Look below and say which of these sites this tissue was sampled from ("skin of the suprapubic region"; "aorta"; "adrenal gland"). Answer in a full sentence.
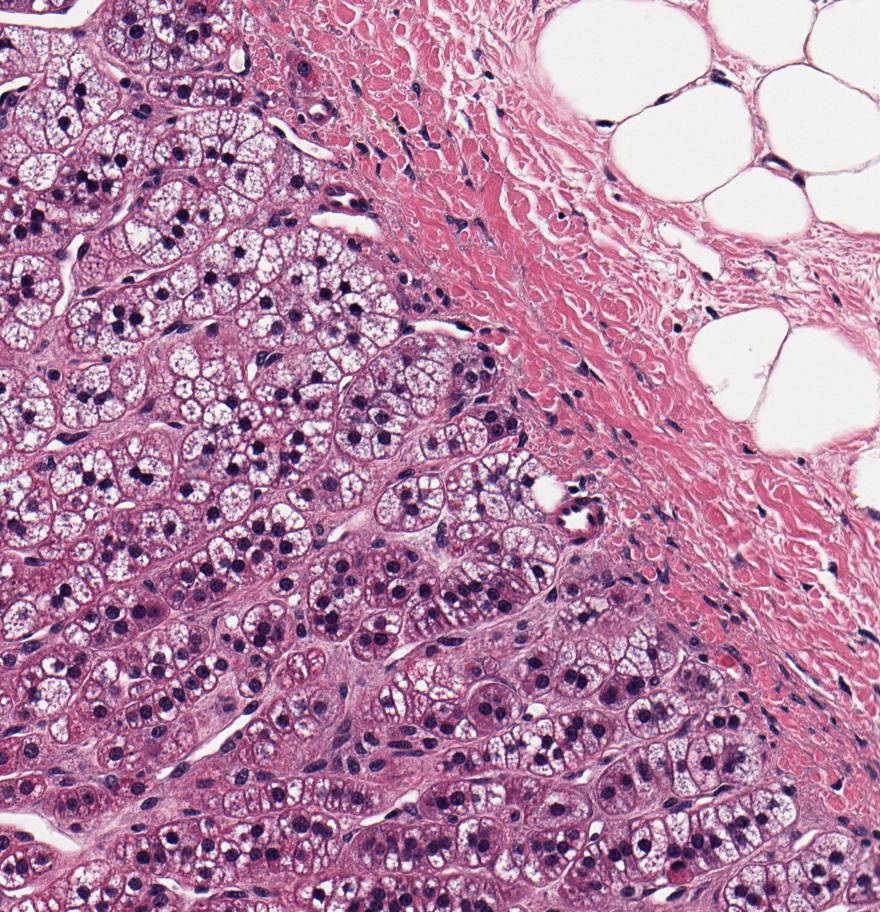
The site this tissue was sampled from is the adrenal gland.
